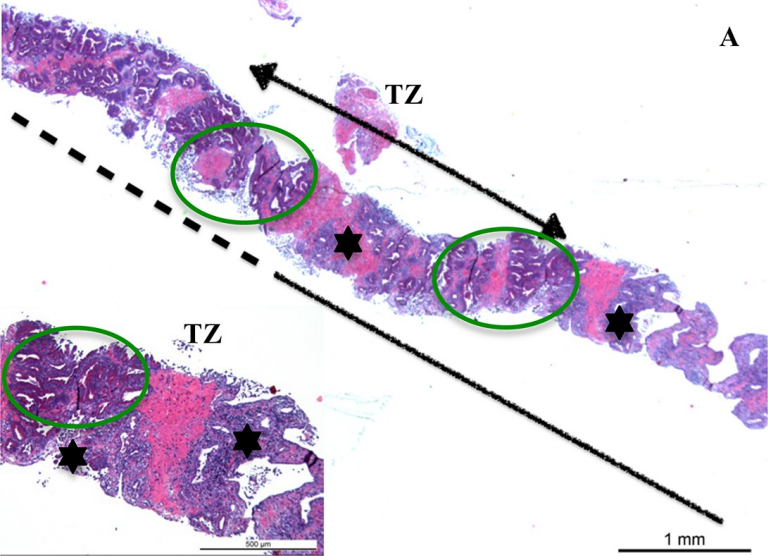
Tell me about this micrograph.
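This is a long core of prostate tissue in which patches of normal glands alternate with damaged areas. The normal prostatic tissue shows glands whose purple epithelium folds into open lumens. Between these patches lie pink, eosinophilic zones and crowded purple areas of inflammation and necrosis where the gland pattern is lost.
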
